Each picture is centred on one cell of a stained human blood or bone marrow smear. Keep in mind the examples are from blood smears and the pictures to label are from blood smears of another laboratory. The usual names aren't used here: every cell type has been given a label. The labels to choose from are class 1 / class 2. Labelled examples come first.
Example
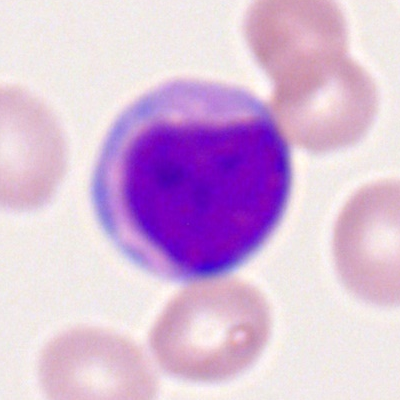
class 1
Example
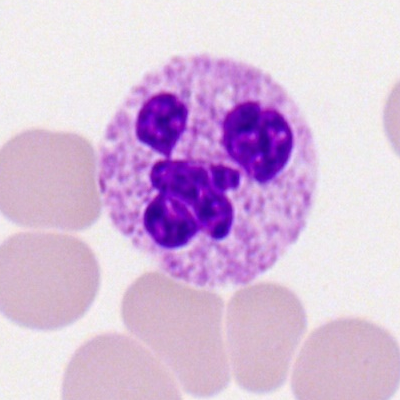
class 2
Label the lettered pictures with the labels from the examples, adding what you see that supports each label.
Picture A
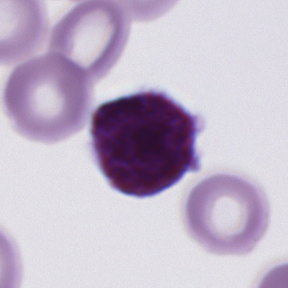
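Label: class 1. Only a very thin rim of cytoplasm is visible around the nucleus.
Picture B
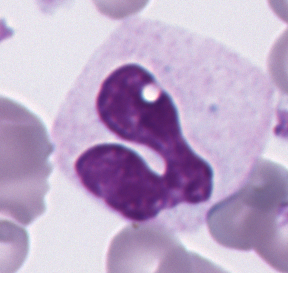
Label: class 2. The cytoplasm is abundant and pale lilac-pink.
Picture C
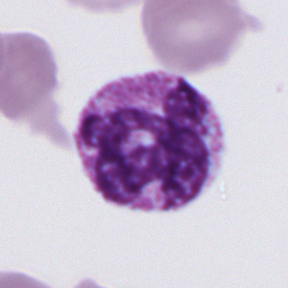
Label: class 2. The nucleus is divided into several lobes arranged in a ring around a paler centre.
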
